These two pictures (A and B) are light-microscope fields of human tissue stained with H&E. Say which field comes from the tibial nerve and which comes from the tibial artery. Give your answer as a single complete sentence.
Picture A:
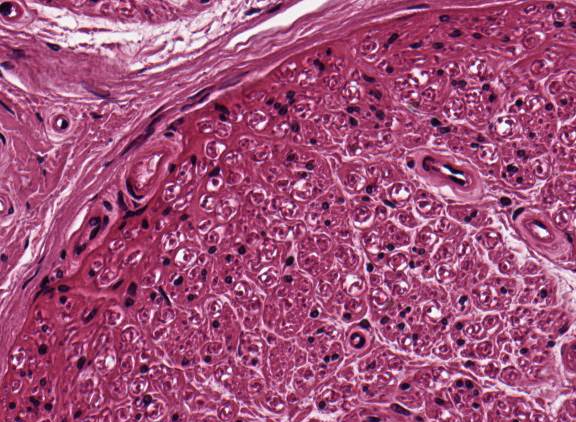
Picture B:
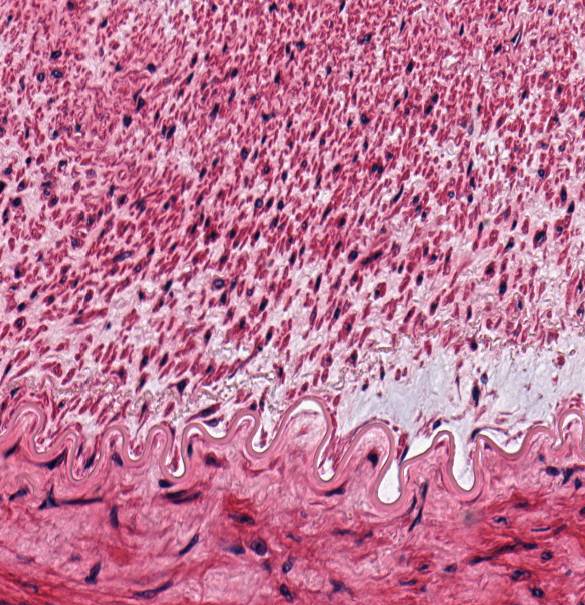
Picture A comes from the tibial nerve; picture B comes from the tibial artery.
